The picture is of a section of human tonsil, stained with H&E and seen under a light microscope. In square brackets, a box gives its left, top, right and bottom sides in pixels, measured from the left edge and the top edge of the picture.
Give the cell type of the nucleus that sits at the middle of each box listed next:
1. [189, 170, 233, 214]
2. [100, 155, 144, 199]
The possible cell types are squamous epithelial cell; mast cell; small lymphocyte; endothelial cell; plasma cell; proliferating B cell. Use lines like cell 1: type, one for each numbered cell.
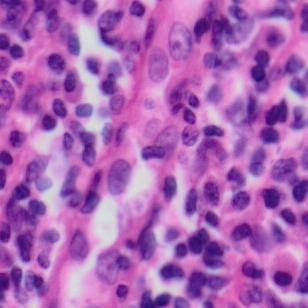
cell 1: plasma cell
cell 2: endothelial cell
